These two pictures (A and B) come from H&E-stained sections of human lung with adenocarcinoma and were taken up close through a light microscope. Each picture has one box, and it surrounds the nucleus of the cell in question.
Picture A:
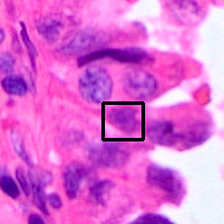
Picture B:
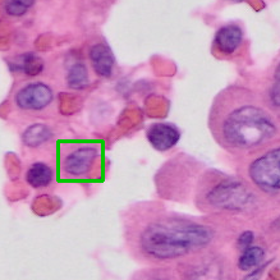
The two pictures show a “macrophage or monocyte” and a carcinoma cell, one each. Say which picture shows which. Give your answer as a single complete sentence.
Picture B shows a “macrophage or monocyte”, while picture A shows a carcinoma cell.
